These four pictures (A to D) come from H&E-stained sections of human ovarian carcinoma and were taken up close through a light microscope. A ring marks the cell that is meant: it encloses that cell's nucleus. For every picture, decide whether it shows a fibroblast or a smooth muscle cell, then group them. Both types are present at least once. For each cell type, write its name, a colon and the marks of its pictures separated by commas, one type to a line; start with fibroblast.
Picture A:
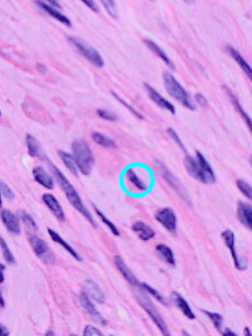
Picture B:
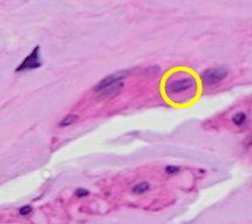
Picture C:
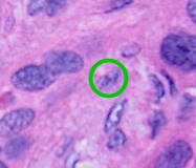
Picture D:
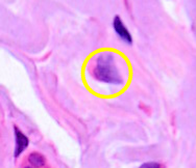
fibroblast: C, D
smooth muscle cell: A, B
